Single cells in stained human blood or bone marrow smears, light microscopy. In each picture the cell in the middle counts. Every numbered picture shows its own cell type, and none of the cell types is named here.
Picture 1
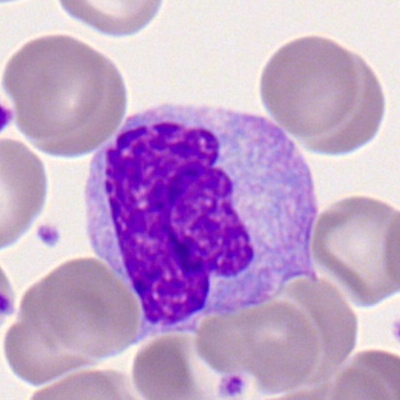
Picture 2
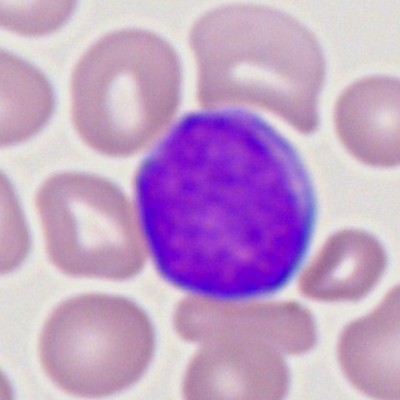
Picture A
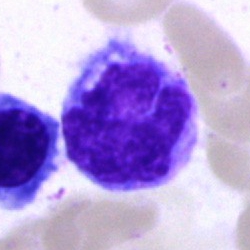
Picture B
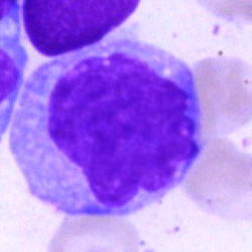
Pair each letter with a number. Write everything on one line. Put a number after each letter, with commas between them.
A 1, B 1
